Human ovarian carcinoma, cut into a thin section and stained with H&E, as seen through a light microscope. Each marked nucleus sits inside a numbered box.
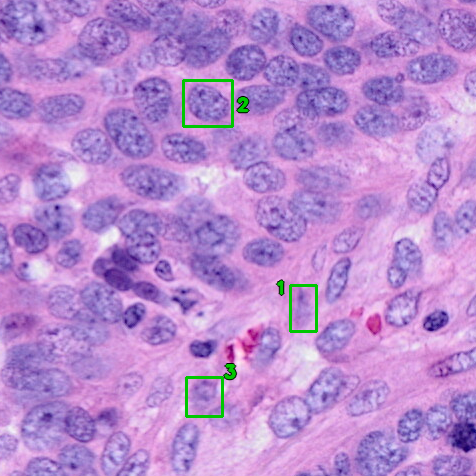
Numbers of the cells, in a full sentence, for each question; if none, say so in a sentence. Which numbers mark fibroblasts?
In short, the numbered cells 1 and 3 are fibroblasts.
